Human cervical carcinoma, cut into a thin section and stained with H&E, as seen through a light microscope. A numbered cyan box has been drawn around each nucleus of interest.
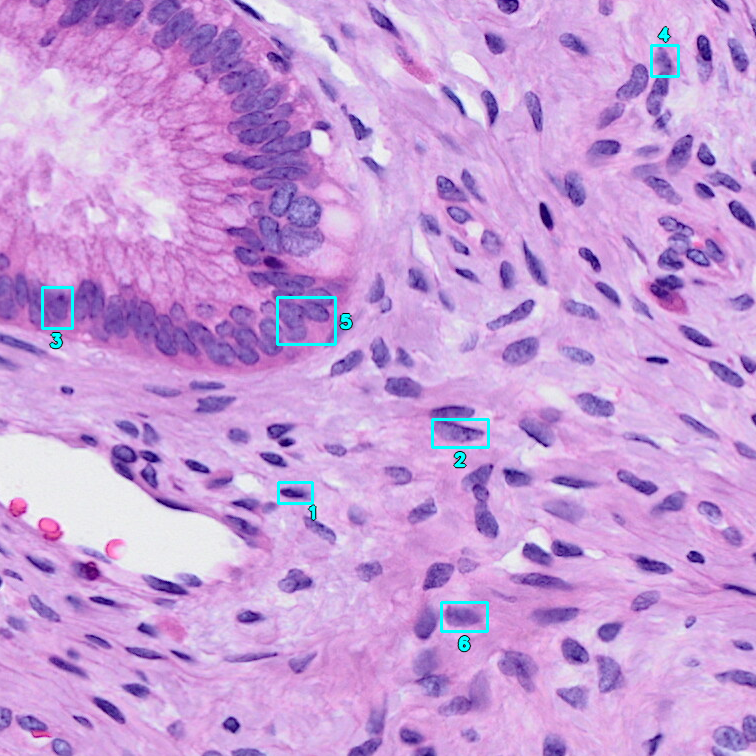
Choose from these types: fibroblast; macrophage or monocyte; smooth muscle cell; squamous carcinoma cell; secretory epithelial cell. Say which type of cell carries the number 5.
secretory epithelial cell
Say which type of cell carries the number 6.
fibroblast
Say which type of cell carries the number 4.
fibroblast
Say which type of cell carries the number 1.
fibroblast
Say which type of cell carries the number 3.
secretory epithelial cell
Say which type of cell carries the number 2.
fibroblast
